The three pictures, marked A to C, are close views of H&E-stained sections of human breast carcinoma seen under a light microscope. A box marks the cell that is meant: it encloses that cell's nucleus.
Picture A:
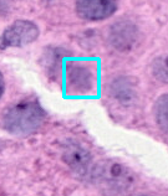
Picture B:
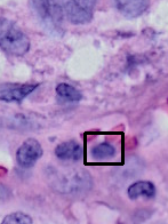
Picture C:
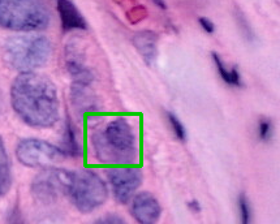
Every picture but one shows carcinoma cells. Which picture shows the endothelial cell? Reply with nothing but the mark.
B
